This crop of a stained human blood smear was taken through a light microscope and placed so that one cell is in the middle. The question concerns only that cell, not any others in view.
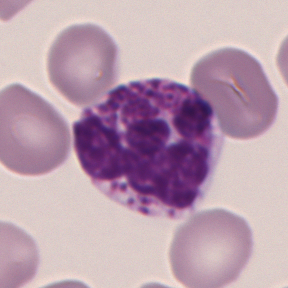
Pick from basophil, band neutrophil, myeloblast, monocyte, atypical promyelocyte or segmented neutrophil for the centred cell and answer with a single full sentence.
The cell sitting right in the middle is a basophil.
